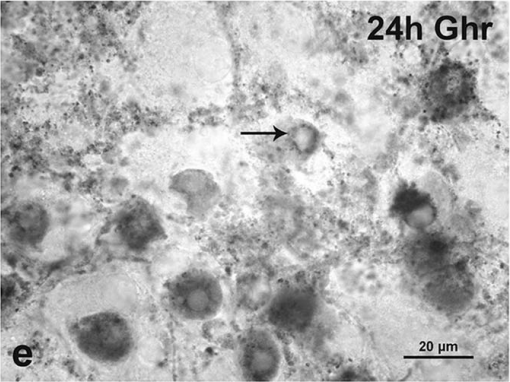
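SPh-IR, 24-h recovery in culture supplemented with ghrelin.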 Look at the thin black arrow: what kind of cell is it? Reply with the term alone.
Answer: Small-sized neuron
